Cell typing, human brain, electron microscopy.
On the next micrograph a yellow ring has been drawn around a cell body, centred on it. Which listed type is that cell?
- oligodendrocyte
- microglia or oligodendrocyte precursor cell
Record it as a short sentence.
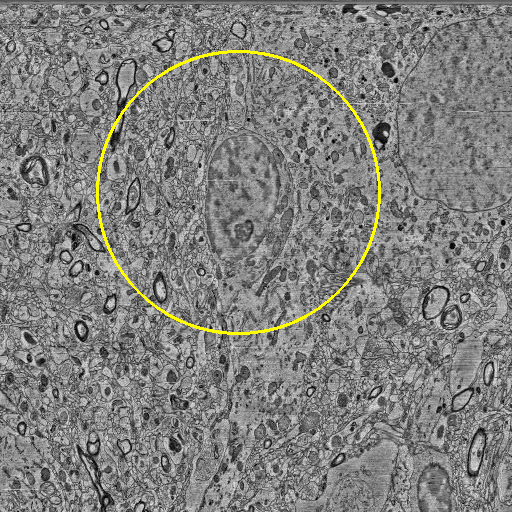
The cell body in the ring's centre belongs to an oligodendrocyte.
